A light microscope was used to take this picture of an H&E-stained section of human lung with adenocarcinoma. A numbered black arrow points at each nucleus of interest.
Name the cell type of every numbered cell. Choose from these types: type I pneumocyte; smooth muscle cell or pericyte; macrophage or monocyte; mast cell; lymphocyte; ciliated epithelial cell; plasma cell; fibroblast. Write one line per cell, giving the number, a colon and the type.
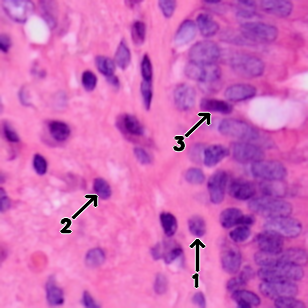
1: lymphocyte
2: mast cell
3: ciliated epithelial cell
